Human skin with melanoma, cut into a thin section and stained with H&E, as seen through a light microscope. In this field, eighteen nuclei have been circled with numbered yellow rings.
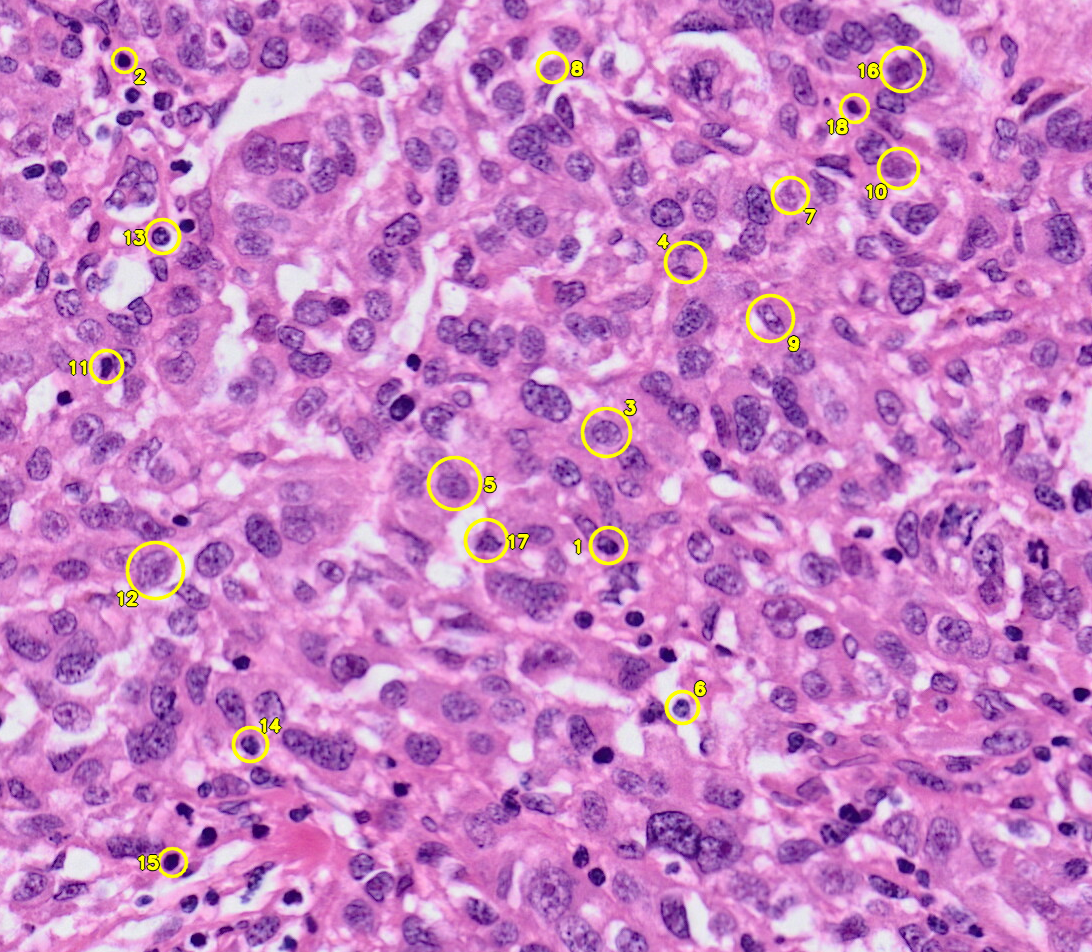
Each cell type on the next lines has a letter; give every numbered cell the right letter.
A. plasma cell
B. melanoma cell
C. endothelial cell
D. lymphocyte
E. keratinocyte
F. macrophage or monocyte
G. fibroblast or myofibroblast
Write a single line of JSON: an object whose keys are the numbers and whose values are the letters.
{"1": "D", "2": "D", "3": "B", "4": "B", "5": "B", "6": "D", "7": "B", "8": "B", "9": "B", "10": "B", "11": "D", "12": "B", "13": "D", "14": "D", "15": "D", "16": "B", "17": "B", "18": "D"}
